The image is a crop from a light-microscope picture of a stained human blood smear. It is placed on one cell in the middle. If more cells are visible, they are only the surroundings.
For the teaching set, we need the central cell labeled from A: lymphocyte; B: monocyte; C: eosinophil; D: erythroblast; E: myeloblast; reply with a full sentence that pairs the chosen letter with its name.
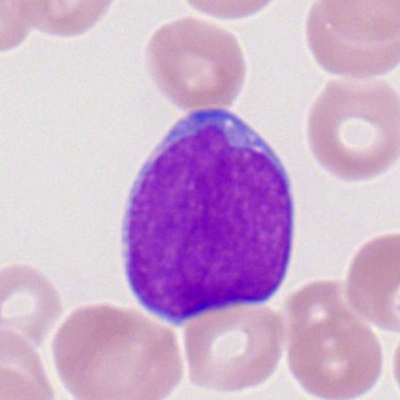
Option E is correct; the cell in the middle is a myeloblast.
